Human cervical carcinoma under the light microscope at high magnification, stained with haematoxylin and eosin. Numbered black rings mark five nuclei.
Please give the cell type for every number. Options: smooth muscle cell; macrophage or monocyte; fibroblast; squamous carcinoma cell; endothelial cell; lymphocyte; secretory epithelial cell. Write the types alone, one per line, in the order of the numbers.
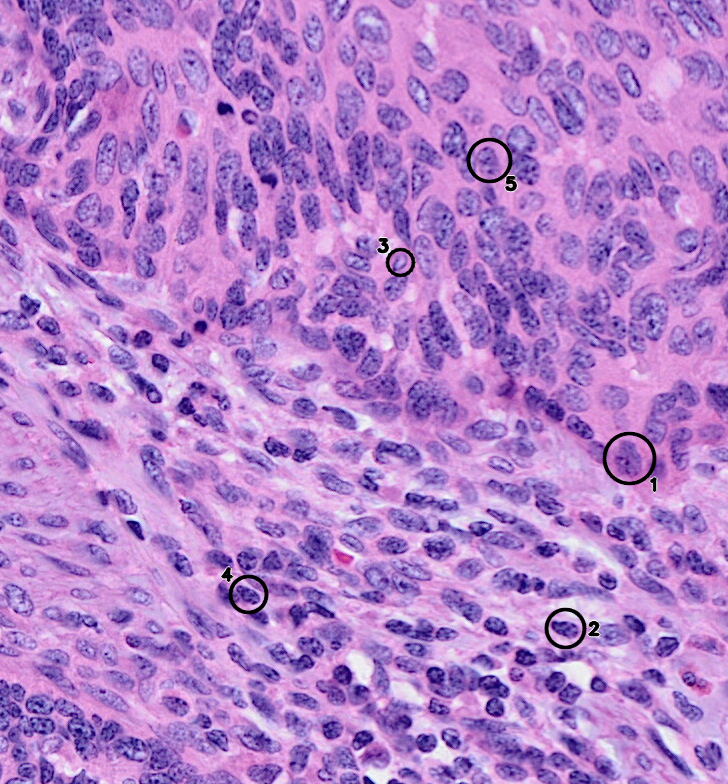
squamous carcinoma cell
lymphocyte
squamous carcinoma cell
lymphocyte
squamous carcinoma cell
